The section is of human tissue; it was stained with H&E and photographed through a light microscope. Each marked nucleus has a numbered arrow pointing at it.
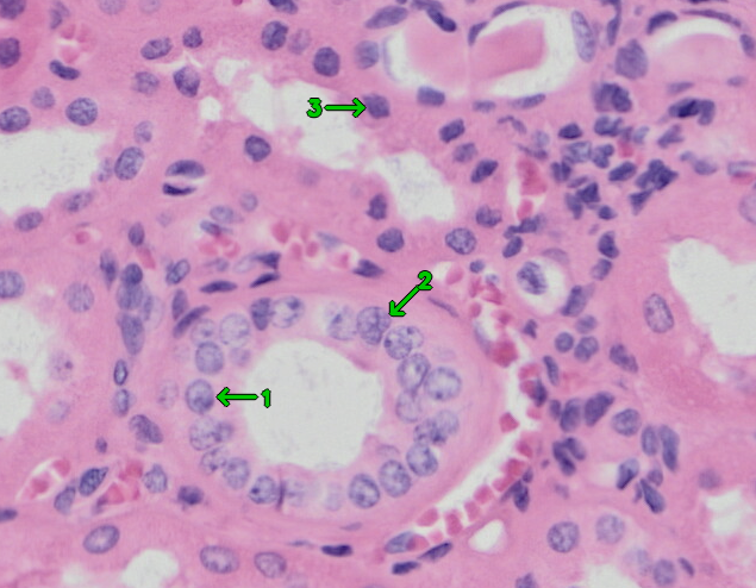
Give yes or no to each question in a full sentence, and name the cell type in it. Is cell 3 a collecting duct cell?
No, the cell given number 3 is a loop of Henle or distal tubule cell, not a collecting duct cell.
